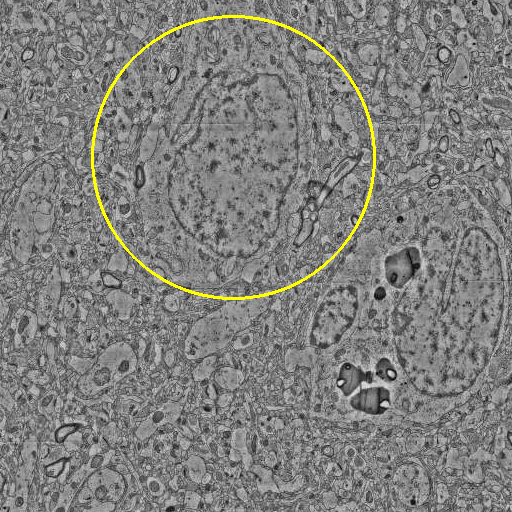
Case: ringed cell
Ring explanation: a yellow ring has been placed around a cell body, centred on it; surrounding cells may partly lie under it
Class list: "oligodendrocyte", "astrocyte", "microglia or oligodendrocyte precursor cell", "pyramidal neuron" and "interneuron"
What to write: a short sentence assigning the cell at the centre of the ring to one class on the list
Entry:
The cell at the ring's centre is an interneuron.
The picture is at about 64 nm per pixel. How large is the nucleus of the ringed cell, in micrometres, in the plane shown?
In this plane the nucleus spans approximately 12 by 8 micrometers.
